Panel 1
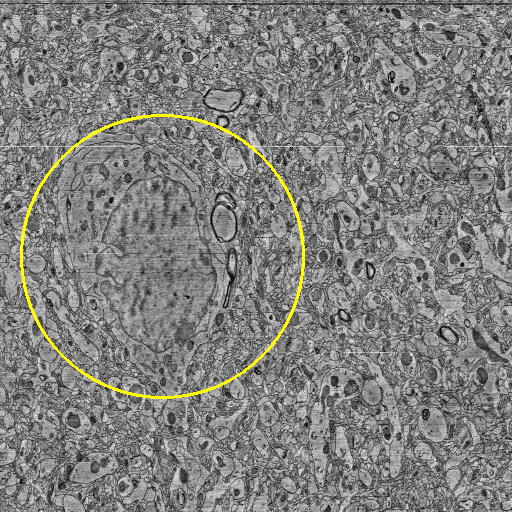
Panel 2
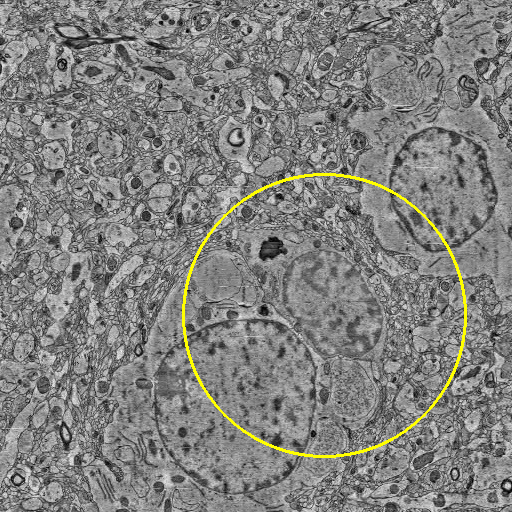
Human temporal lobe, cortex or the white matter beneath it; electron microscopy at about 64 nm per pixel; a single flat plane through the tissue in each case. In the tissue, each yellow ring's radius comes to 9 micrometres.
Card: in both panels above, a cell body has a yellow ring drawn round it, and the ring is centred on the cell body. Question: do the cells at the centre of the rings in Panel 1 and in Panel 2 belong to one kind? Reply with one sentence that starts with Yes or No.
No, the cells centred in the rings of Panel 1 and Panel 2 are two kinds of cell.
